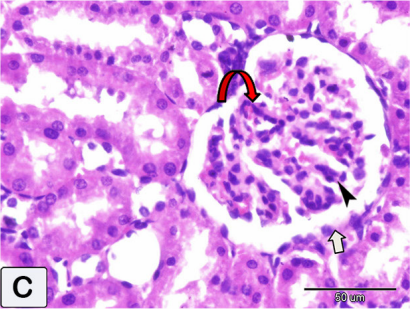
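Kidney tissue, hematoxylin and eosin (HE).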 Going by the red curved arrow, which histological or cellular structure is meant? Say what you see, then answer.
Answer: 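The curved arrow sits on a rounded tuft of densely packed nuclei. The tuft is surrounded by a clear space and a thin outer wall. Tubules with pink cytoplasm surround this round structure.
Conclusion: glomeruli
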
